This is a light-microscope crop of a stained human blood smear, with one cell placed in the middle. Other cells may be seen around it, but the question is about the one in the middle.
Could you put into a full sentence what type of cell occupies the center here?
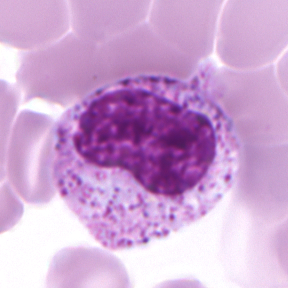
At the middle of the frame sits a metamyelocyte.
